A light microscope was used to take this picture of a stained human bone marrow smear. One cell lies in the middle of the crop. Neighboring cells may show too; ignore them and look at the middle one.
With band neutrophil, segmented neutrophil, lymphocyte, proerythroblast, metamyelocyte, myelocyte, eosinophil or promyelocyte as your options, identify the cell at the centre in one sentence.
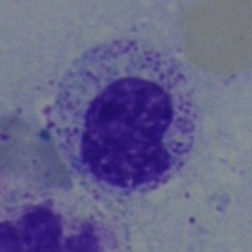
The cell found in the middle of this crop is a metamyelocyte.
